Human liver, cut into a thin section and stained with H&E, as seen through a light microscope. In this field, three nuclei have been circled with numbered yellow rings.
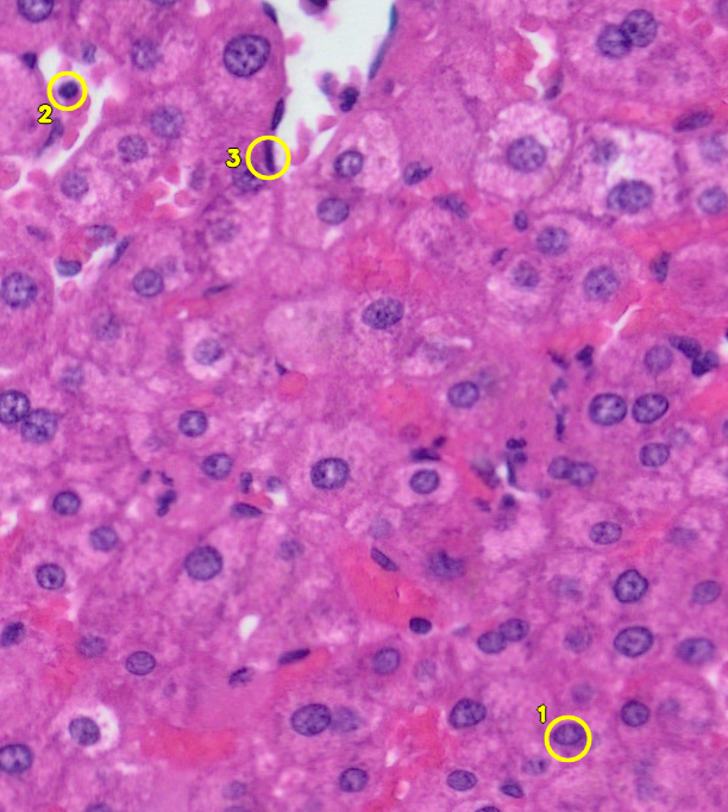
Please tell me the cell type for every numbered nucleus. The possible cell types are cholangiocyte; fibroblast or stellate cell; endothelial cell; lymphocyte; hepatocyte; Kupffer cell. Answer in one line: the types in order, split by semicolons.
hepatocyte; lymphocyte; fibroblast or stellate cell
